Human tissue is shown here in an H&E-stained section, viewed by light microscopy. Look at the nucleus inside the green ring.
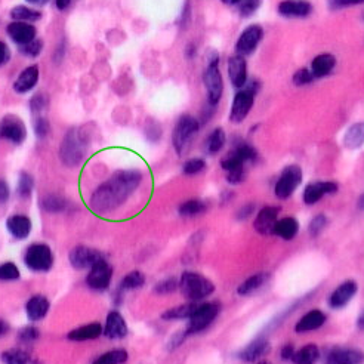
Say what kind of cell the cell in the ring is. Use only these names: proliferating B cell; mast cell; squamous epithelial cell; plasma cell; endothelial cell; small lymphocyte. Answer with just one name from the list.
endothelial cell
